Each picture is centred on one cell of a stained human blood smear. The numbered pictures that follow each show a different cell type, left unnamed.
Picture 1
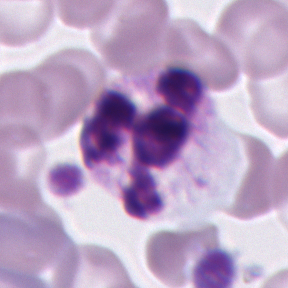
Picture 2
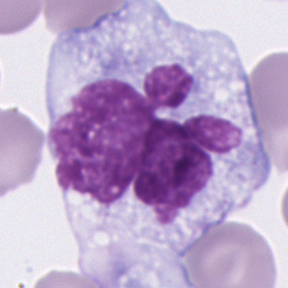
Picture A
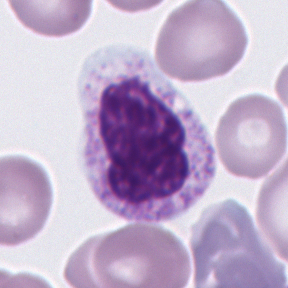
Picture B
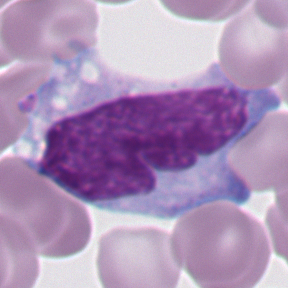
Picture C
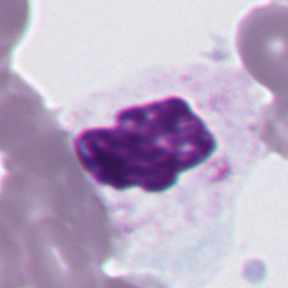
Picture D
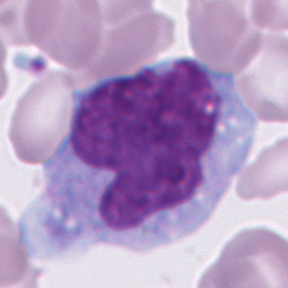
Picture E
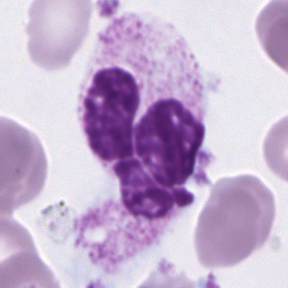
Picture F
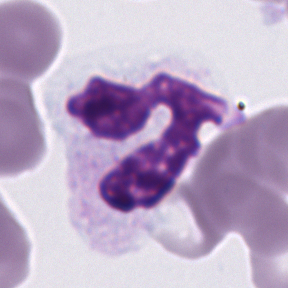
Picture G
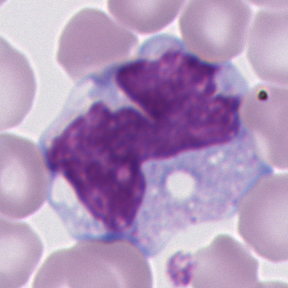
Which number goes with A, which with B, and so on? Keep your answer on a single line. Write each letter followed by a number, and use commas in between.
A 1, B 2, C 1, D 2, E 1, F 1, G 2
